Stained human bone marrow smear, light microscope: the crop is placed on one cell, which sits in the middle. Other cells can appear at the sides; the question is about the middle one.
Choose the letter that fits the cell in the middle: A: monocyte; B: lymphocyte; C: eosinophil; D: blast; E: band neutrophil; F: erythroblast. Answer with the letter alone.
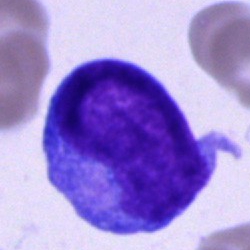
D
